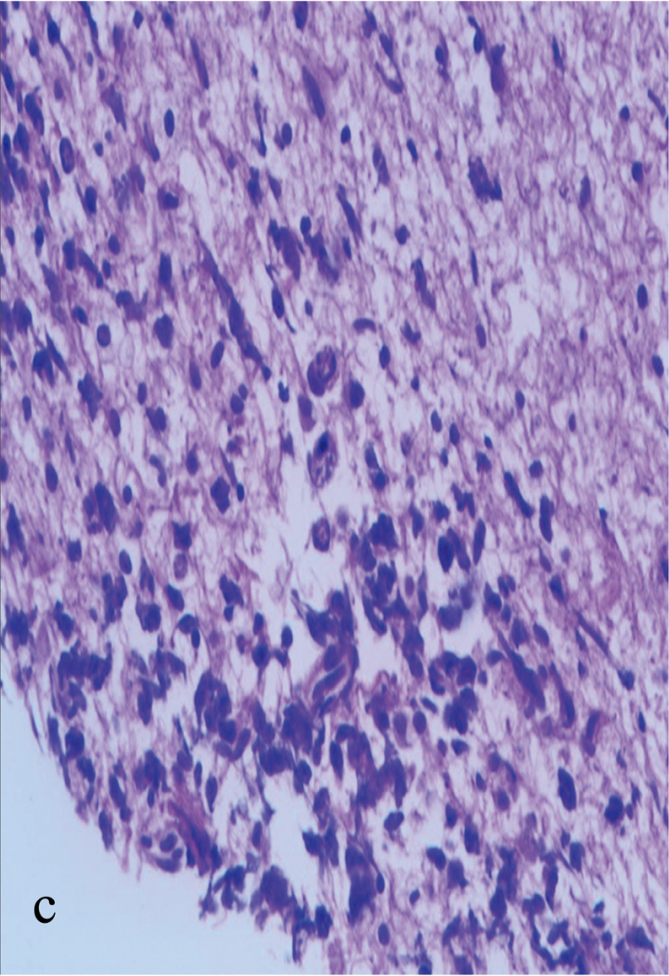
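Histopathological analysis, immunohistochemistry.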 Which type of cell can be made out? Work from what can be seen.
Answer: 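Pleomorphic cells. Nuclei vary in size and shape across the field. Many nuclei are oval to elongated and dark purple. Cells crowd more densely toward the lower left edge of the tissue.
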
